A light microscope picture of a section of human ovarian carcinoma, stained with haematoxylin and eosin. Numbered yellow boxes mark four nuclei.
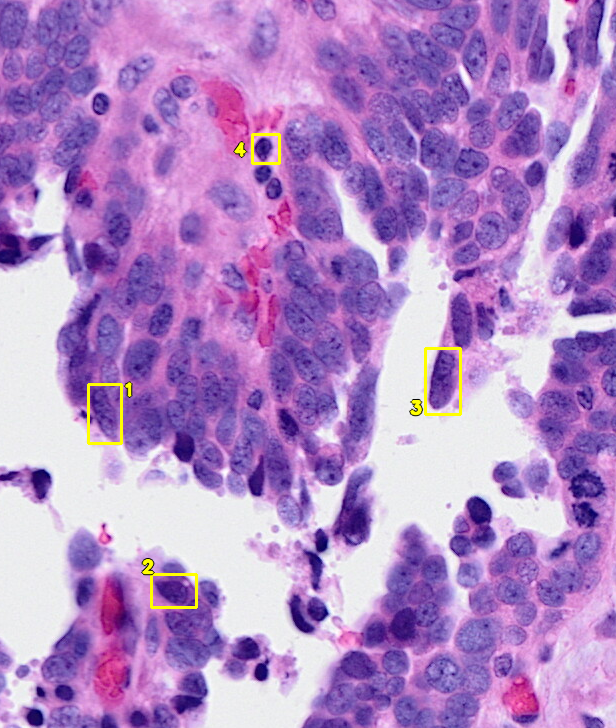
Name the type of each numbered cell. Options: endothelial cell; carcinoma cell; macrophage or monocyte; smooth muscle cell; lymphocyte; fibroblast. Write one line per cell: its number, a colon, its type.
1: carcinoma cell
2: carcinoma cell
3: carcinoma cell
4: lymphocyte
